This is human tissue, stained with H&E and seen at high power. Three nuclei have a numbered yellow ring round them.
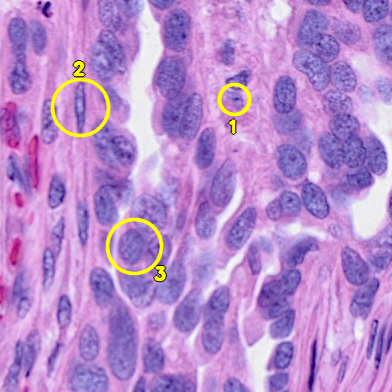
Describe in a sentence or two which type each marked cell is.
Cell 1 is a fibroblast, cell 2 is a fibroblast and cell 3 is a carcinoma cell.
